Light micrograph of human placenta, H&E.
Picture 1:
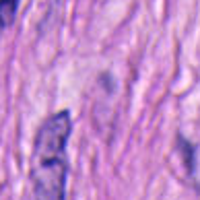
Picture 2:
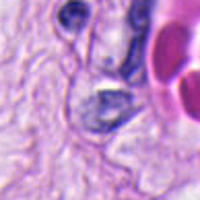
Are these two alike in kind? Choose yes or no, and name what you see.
Yes. Vascular myocytes.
